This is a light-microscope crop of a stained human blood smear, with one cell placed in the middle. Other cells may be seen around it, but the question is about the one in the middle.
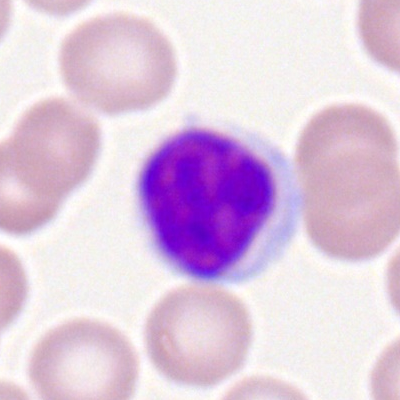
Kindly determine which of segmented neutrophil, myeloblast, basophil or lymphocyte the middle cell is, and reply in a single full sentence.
The crop centres on a single cell, and that cell is a lymphocyte.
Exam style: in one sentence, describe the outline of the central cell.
The cell shows a smooth outline that lacks any surface projections.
